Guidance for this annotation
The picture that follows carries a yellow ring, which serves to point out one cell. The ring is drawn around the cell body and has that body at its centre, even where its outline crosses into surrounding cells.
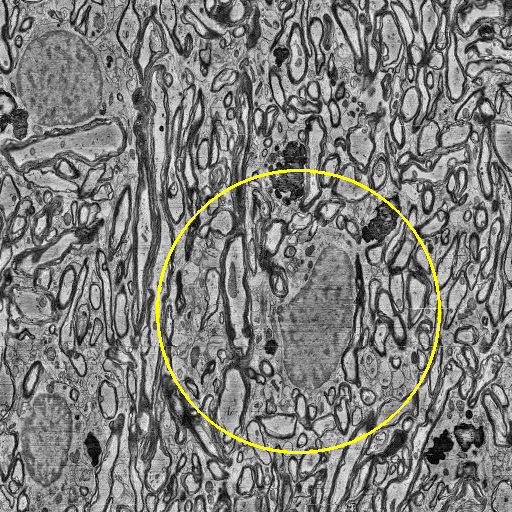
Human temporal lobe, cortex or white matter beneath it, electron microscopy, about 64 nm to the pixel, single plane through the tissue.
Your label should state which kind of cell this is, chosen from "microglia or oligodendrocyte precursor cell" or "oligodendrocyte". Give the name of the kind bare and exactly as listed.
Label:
oligodendrocyte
